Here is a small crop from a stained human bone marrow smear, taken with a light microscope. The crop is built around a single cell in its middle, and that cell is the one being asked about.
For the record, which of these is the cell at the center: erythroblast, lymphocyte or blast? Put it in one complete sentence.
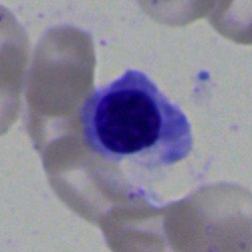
On this slide crop, the central cell is an erythroblast.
